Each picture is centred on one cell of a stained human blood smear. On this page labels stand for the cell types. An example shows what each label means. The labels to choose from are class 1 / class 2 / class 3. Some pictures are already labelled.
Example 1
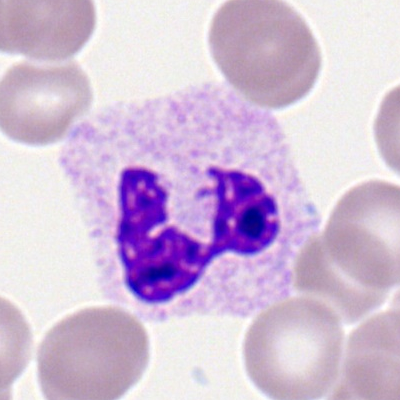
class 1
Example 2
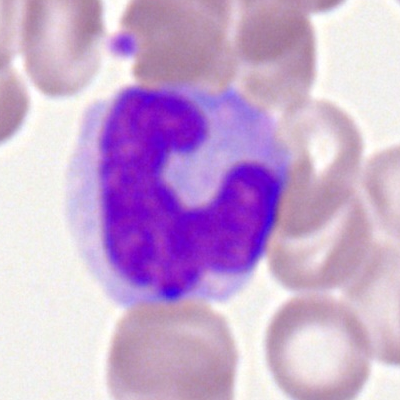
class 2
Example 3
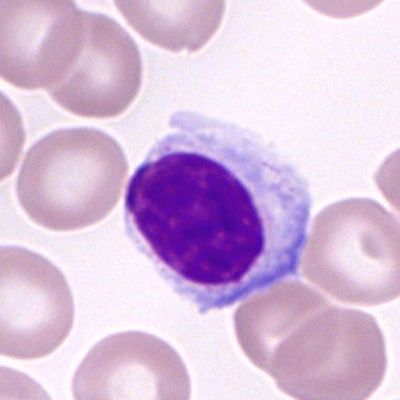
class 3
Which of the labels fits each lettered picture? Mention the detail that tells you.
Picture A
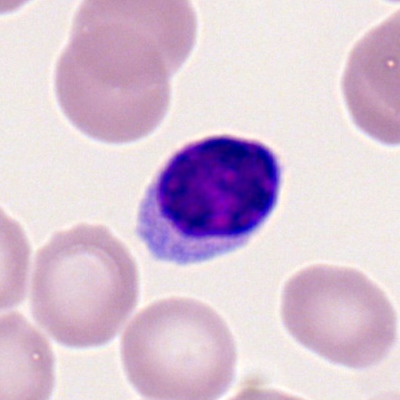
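class 3: The cytoplasm is scant and pale blue.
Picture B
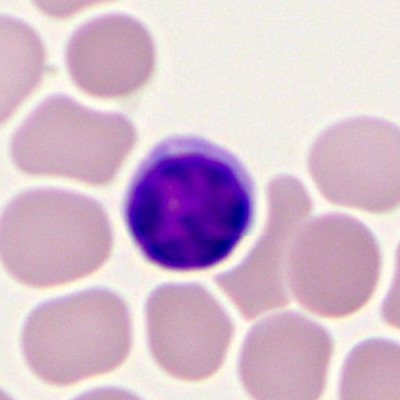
class 3: The cytoplasm is a scant pale blue rim, widest along the top of the cell.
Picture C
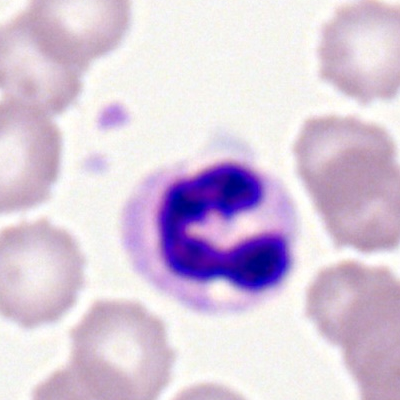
class 1: The nucleus is a thick curved band shaped like a C, open toward the right.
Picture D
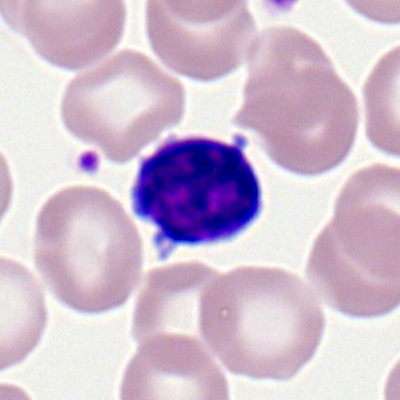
class 3: The nucleus fills almost the whole cell, leaving very little cytoplasm.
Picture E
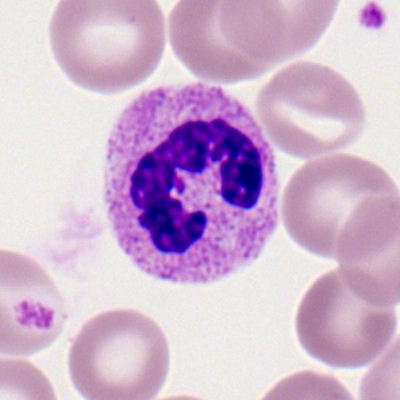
class 1: The nucleus is a curved band that wraps around a central patch of pale cytoplasm.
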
